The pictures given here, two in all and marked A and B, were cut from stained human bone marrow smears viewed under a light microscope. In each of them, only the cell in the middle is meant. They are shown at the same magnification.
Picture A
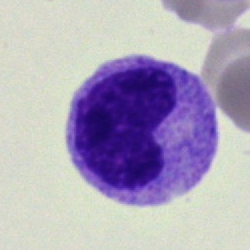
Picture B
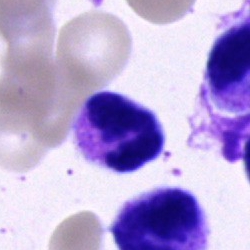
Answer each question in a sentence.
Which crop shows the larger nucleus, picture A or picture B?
Picture A shows the larger nucleus; it covers about 2.5 times the area of the nucleus in picture B.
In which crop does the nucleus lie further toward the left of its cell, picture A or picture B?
The nucleus in picture A lies further toward the left of its cell.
